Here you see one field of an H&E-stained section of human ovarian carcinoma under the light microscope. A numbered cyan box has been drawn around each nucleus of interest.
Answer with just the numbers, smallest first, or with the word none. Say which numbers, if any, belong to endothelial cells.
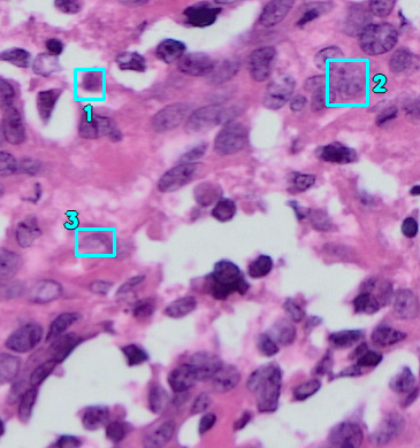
3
